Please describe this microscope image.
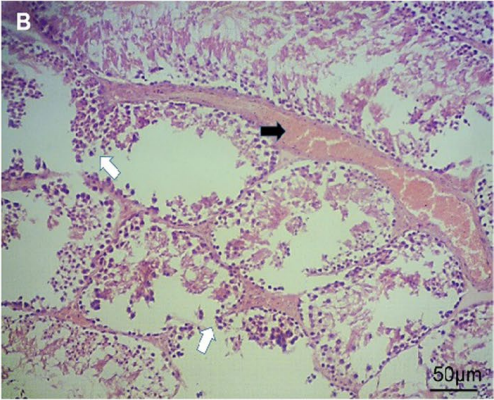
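This section shows seminiferous tubules whose seminiferous epithelium is markedly thinned and disorganized. Many tubules have large, empty, pale lumina, and only a sparse, broken lining of purple-nucleated cells remains along their walls. Loose clusters of detached cells lie free within the tubule interiors. A broad band of intertubular space runs across the upper part of the field and contains pink-red material. The tubule outlines are irregular, and the orderly layering of cells is lost.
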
